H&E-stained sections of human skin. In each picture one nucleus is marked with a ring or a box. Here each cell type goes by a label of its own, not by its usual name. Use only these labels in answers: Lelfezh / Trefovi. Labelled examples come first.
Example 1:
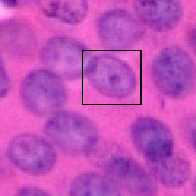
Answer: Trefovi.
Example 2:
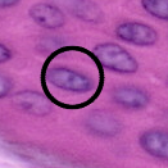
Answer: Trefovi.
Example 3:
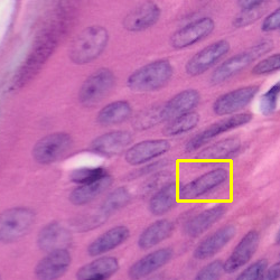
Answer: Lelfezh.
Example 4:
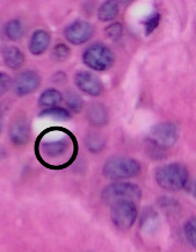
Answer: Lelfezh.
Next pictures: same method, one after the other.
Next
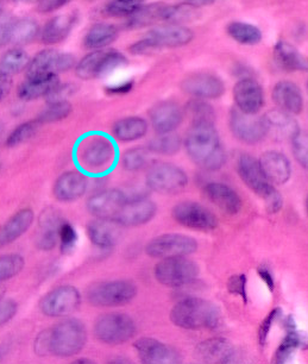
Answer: Lelfezh.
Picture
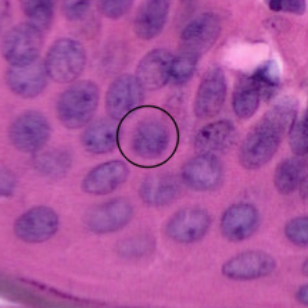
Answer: Trefovi.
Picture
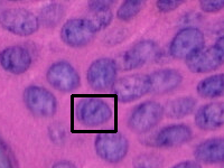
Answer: Trefovi.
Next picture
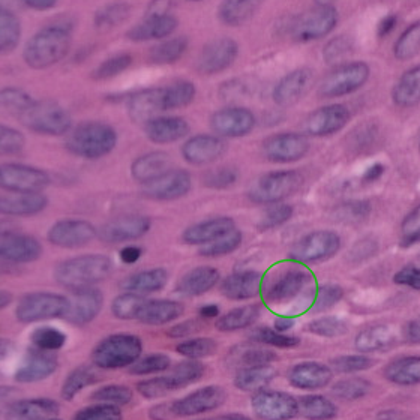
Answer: Lelfezh.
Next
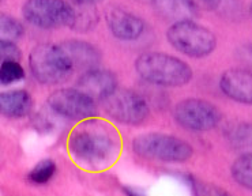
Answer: Lelfezh.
